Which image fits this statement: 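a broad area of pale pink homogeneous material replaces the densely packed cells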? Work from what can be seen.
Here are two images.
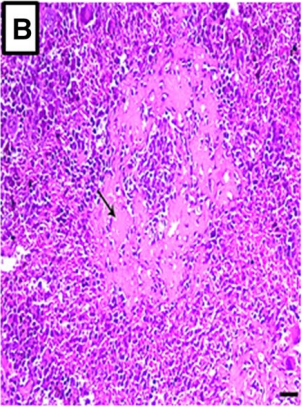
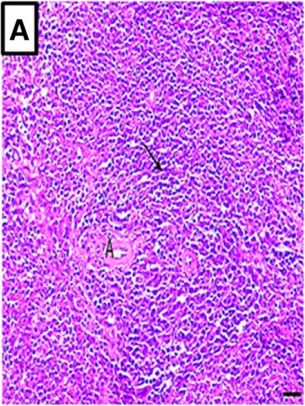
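The first image. First image: a large pale pink, glassy patch with sparse nuclei occupies the centre of the field. Second image: densely packed dark blue nuclei surround a small central vessel with no pale deposit.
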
